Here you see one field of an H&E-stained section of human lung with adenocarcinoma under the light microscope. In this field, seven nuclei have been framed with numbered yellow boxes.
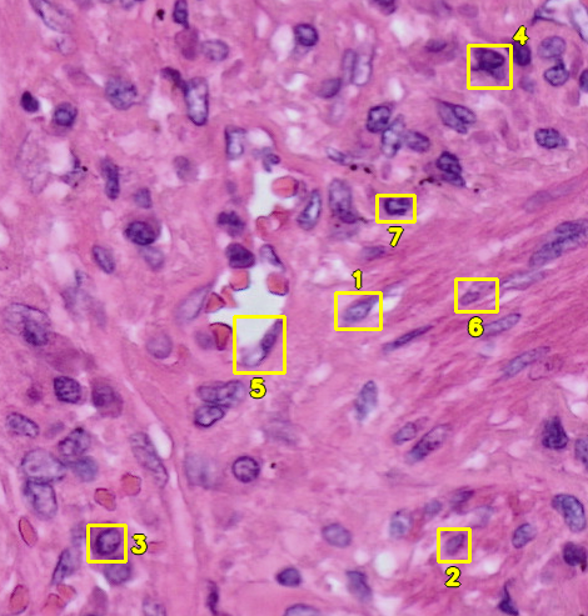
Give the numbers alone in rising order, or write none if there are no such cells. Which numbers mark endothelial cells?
5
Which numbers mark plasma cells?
3, 4, 7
